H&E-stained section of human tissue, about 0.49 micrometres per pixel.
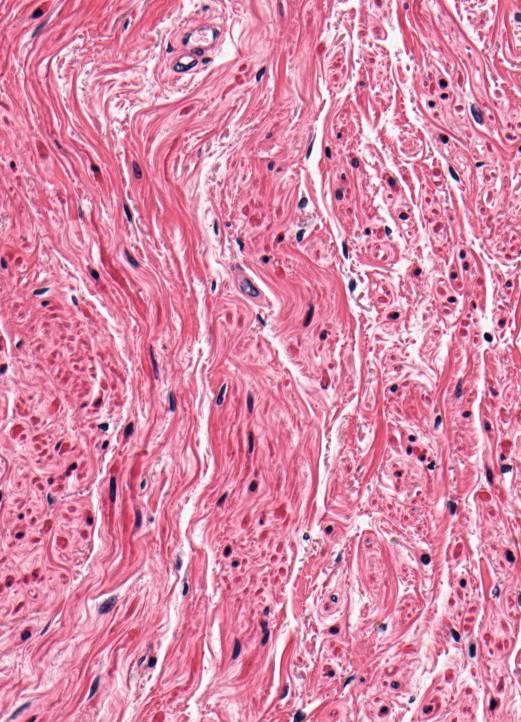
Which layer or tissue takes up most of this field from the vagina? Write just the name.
smooth muscle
